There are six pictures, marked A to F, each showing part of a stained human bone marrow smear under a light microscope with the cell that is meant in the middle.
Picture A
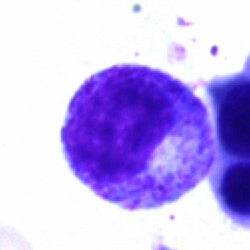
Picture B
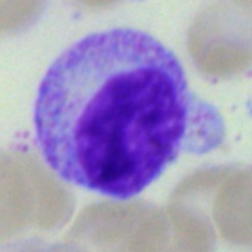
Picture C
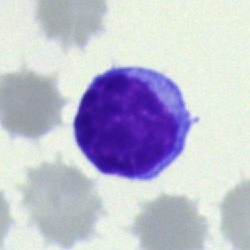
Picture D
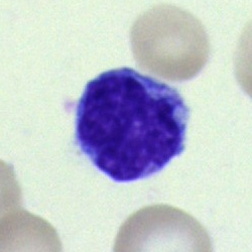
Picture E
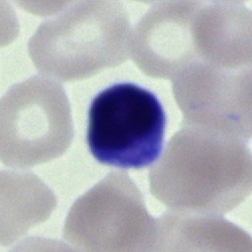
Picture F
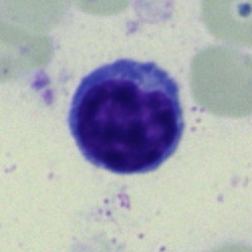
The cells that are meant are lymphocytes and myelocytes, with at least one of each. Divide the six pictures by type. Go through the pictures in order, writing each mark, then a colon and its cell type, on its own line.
A: myelocyte
B: myelocyte
C: lymphocyte
D: lymphocyte
E: lymphocyte
F: lymphocyte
